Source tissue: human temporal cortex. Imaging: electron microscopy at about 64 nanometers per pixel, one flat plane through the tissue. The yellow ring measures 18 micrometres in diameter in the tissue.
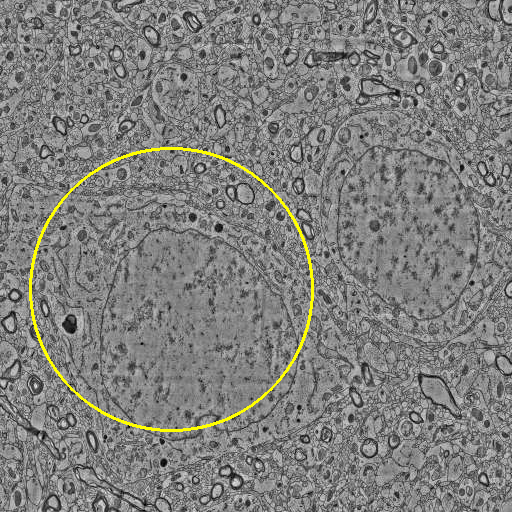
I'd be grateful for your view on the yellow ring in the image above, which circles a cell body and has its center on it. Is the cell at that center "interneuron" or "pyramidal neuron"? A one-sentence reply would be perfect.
The cell at the center of the yellow ring is a pyramidal neuron.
